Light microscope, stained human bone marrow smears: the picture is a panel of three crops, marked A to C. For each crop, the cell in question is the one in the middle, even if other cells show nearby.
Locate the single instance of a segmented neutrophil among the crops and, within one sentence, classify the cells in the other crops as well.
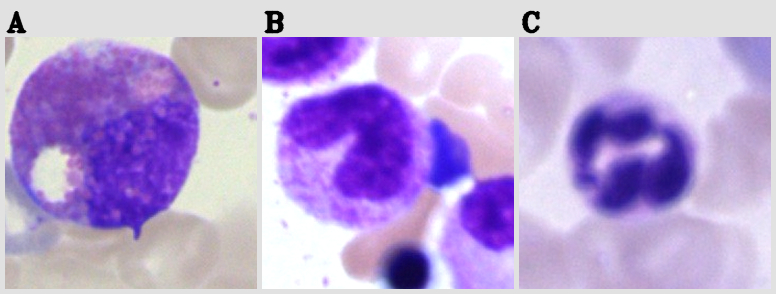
In the case of crop C, the cell is a segmented neutrophil, while crop A is an eosinophil and crop B is a band neutrophil.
